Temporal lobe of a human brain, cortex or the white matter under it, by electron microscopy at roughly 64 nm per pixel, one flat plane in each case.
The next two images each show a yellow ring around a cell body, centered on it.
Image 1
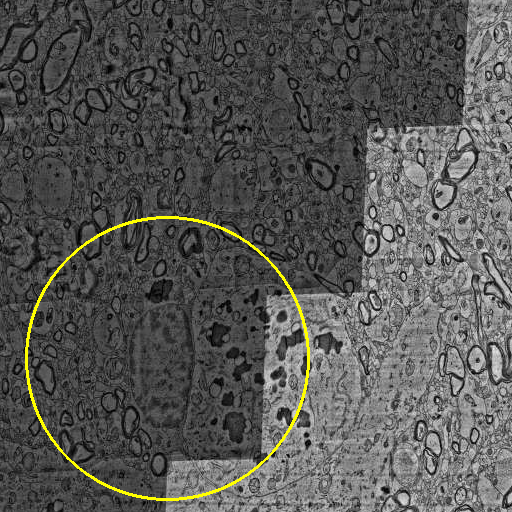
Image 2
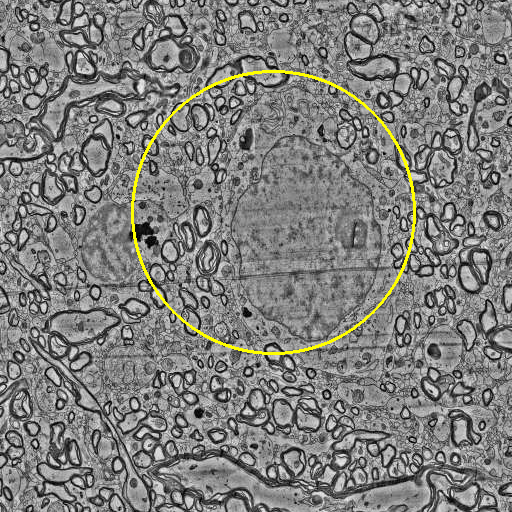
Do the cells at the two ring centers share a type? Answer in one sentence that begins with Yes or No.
No, across the two images the cells at the ring centers are of two types.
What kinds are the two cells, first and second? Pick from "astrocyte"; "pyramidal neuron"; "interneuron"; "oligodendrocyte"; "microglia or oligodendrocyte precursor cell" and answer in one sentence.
The second picture holds an interneuron in its ring, and the first holds an oligodendrocyte.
